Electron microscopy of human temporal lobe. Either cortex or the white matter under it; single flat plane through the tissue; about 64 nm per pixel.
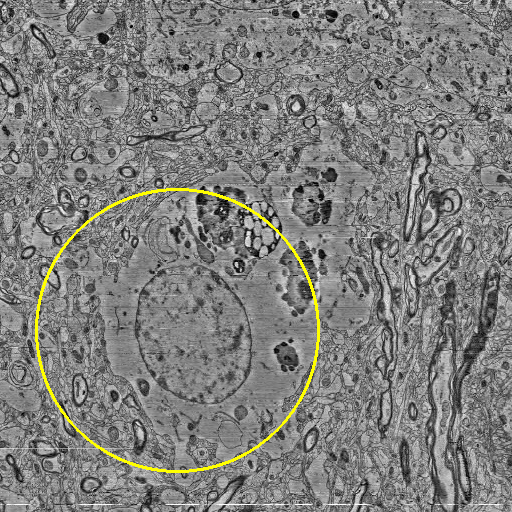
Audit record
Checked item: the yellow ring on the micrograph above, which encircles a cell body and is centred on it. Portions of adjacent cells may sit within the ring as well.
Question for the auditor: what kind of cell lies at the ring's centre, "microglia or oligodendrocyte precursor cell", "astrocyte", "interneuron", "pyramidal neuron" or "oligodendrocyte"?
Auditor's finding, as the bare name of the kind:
astrocyte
